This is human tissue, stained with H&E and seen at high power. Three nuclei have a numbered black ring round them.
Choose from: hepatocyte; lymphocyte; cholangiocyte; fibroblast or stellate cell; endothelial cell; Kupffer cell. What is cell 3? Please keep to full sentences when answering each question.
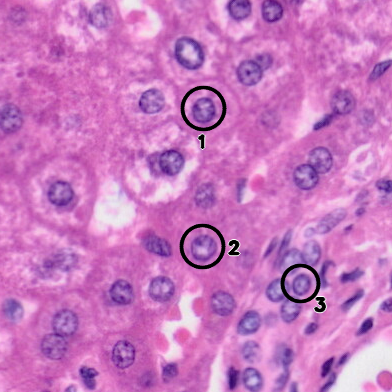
The expected answer is that cell 3 is a cholangiocyte.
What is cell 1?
What the number 1 marks in this field is a hepatocyte.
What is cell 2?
In the marked set, the cell given number 2 is a hepatocyte.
